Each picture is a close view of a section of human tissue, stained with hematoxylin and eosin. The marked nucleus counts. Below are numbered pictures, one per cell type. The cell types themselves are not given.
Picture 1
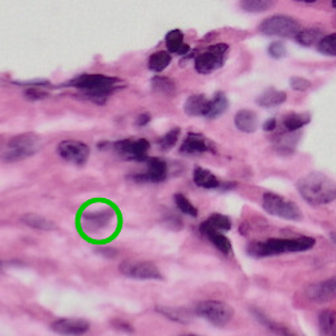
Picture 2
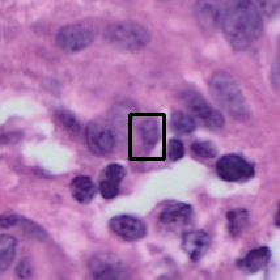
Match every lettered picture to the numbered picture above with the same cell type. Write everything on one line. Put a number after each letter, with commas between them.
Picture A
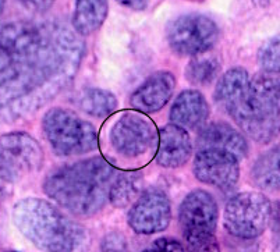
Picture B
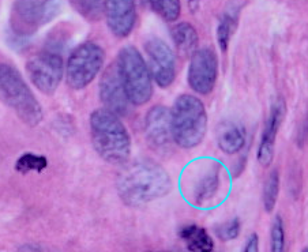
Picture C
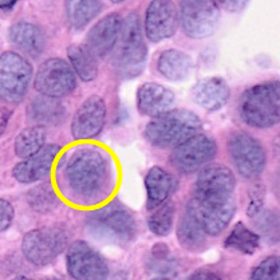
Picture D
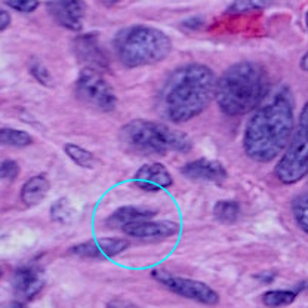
A 2, B 1, C 2, D 1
